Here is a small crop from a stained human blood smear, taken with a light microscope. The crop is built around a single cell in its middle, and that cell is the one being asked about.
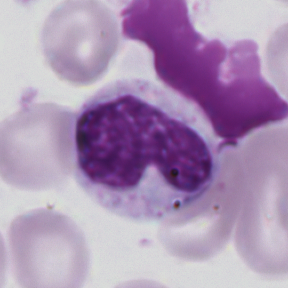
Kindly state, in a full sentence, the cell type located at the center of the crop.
The central cell shown in this smear crop is a band neutrophil.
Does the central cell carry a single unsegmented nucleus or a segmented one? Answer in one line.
See how the nucleus sits as one compact round, oval or kidney-shaped mass.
